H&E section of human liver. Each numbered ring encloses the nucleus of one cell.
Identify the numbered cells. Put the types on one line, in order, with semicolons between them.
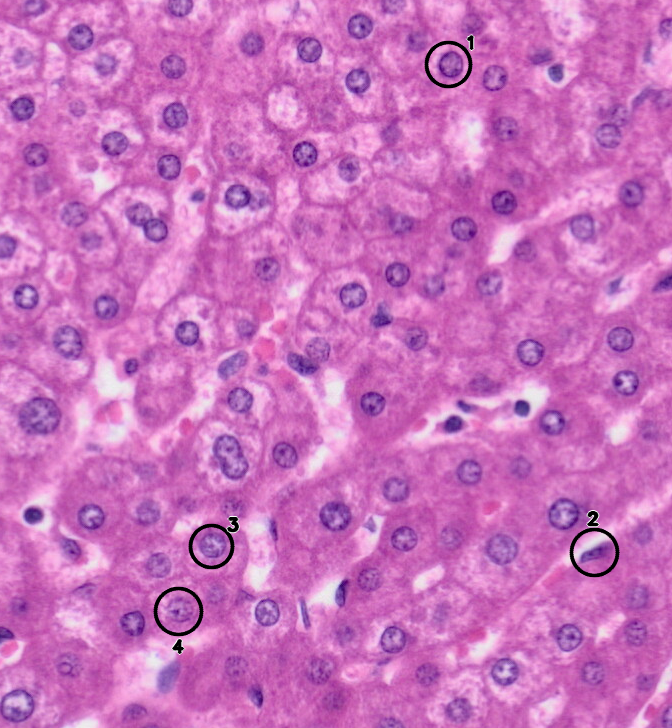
hepatocyte; endothelial cell; hepatocyte; hepatocyte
